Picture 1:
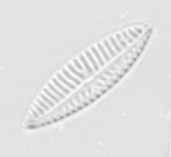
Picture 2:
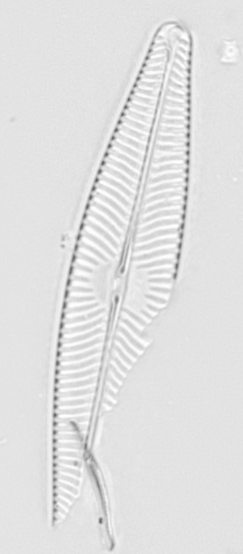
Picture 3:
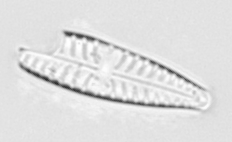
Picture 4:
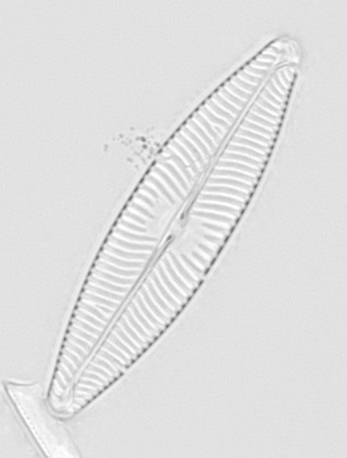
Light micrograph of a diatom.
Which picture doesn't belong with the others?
Picture 3.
